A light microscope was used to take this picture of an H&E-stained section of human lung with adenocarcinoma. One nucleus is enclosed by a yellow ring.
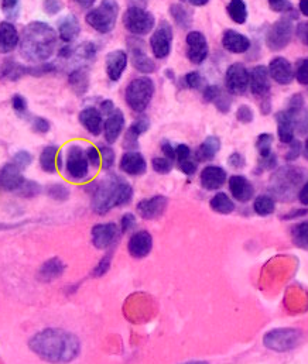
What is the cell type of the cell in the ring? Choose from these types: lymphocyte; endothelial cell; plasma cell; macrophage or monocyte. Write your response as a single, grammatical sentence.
Cytologically, the cell in the ring is to be regarded as a lymphocyte.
